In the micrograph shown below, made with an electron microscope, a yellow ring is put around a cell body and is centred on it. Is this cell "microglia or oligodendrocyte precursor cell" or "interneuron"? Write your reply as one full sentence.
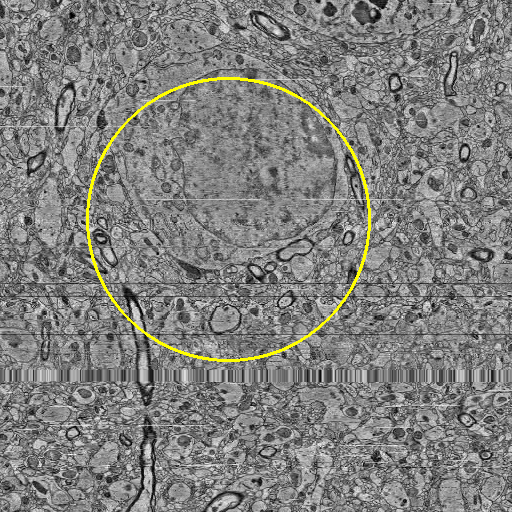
In the micrograph, an interneuron is the cell at the centre of the yellow ring.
